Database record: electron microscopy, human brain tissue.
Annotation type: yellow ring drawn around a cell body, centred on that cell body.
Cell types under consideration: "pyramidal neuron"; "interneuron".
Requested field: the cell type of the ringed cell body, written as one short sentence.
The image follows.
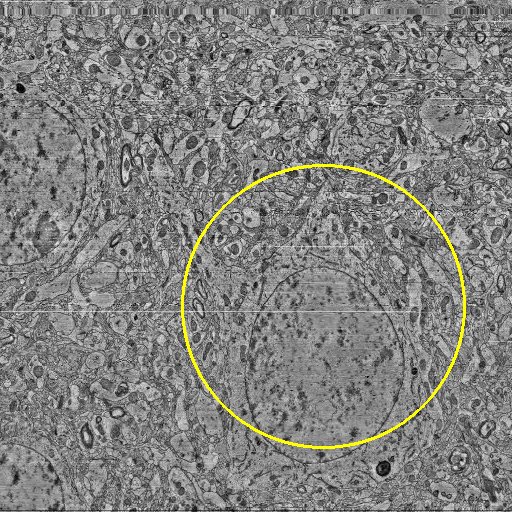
The ringed cell body represents a pyramidal neuron.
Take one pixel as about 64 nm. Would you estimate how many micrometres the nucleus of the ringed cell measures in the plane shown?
Approximately 13 micrometres long and 10 micrometres wide, in this plane.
